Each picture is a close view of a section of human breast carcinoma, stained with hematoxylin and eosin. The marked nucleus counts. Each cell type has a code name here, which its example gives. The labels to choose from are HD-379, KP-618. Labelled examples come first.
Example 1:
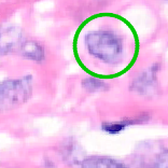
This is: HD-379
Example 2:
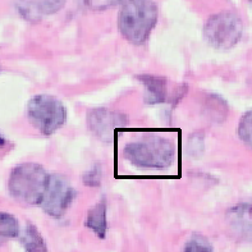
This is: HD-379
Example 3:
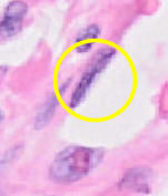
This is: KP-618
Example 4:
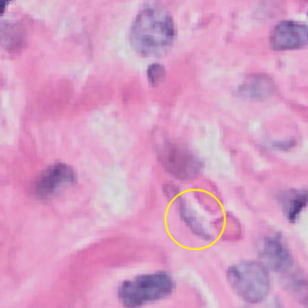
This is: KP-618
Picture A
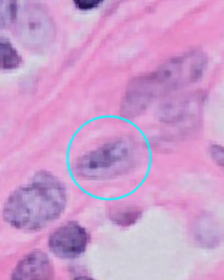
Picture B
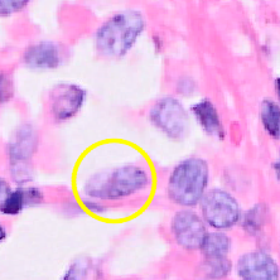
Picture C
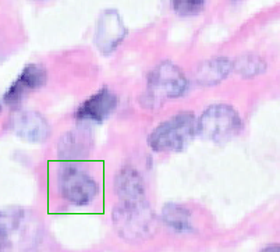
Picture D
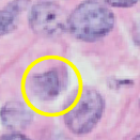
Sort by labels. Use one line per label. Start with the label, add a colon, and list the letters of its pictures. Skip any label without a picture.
HD-379: B, C, D
KP-618: A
